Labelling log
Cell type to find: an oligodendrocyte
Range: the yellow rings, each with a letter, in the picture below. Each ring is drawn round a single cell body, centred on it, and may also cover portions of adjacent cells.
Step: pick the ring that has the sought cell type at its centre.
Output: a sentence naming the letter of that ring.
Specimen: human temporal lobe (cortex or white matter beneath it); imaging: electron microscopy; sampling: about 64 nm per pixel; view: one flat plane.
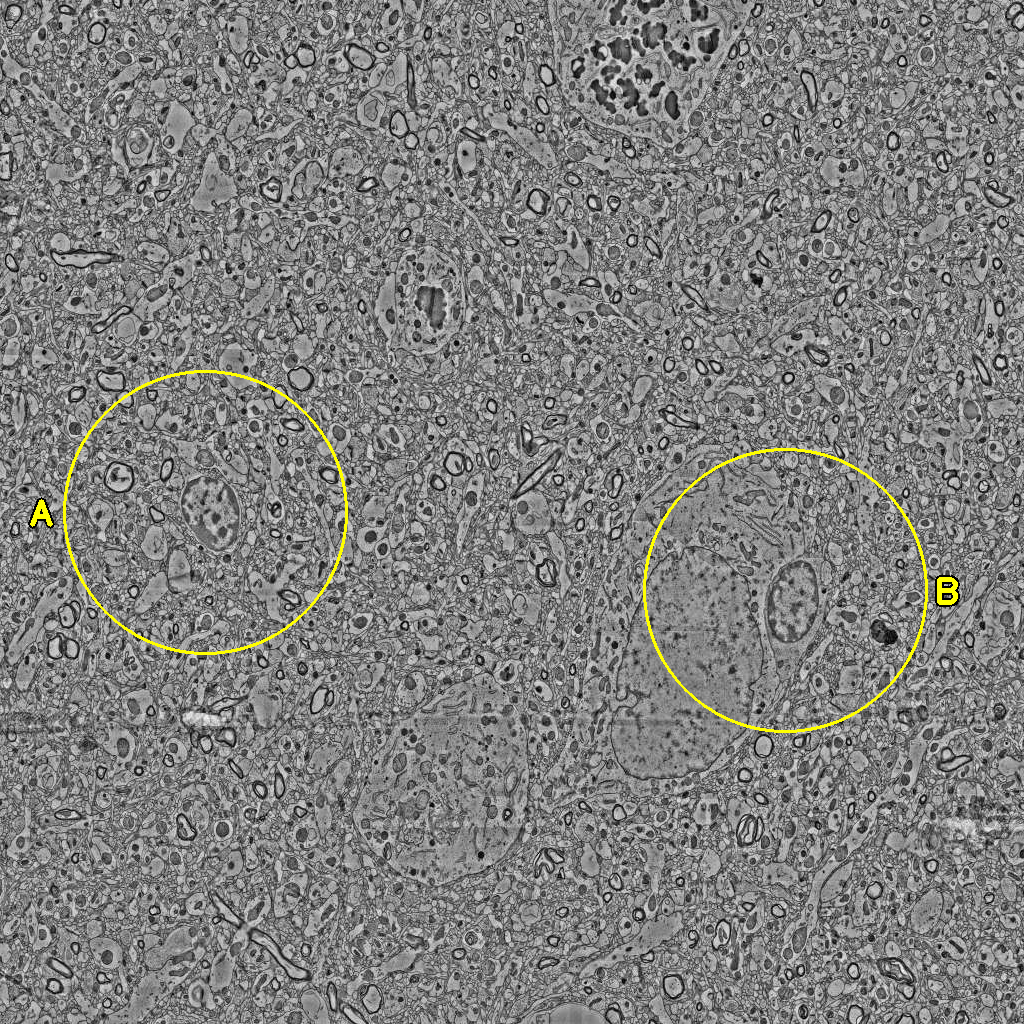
Ring B is the one with the cell asked for at its centre.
